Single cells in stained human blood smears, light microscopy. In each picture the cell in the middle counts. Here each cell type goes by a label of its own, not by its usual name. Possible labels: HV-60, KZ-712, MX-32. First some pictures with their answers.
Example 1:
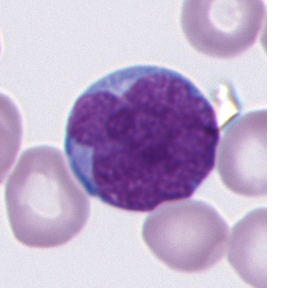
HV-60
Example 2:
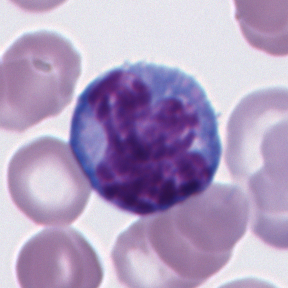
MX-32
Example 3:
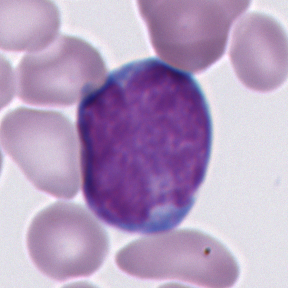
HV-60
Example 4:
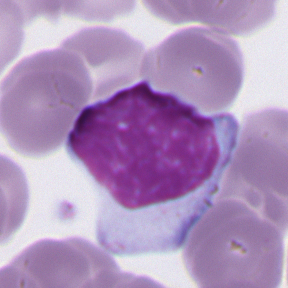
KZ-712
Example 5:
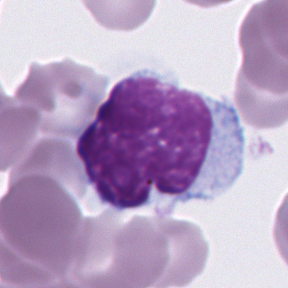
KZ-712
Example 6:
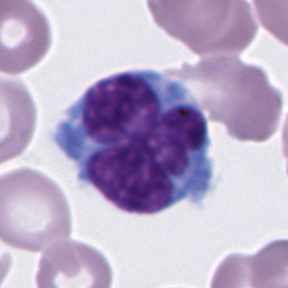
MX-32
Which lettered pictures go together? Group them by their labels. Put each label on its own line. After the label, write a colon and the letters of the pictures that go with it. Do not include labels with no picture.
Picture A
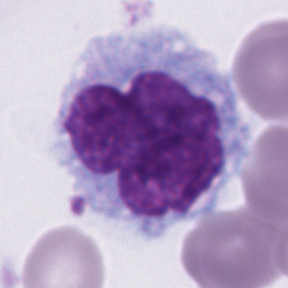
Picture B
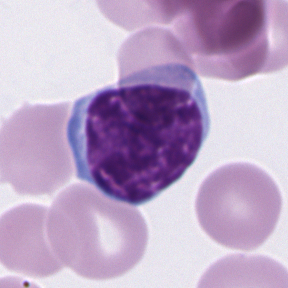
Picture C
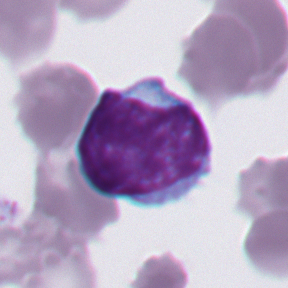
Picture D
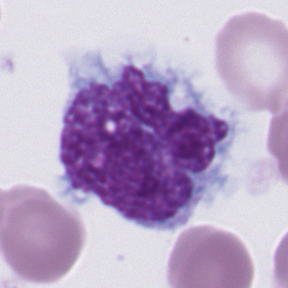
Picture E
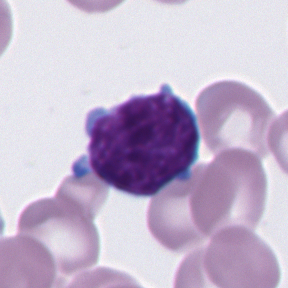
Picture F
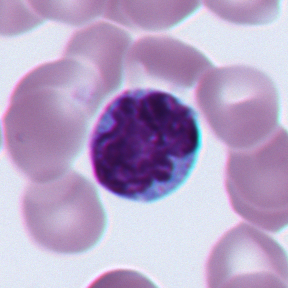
KZ-712: B, C, E, F
MX-32: A, D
